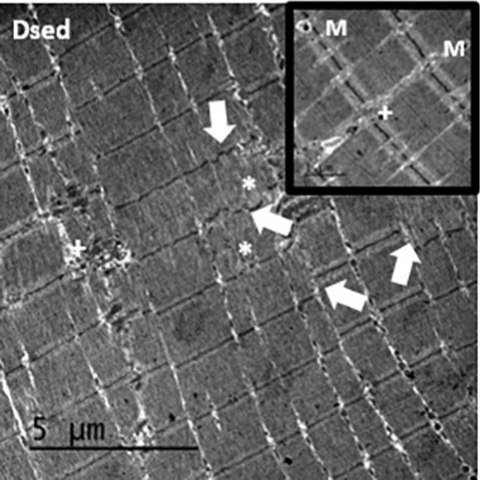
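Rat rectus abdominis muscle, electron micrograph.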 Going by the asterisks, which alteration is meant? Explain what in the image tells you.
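Sarcomeres disruption areas. The asterisks lie in a zone where the regular banded pattern of the myofibrils is interrupted.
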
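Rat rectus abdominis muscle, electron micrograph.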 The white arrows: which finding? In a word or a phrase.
disorganized Z lines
